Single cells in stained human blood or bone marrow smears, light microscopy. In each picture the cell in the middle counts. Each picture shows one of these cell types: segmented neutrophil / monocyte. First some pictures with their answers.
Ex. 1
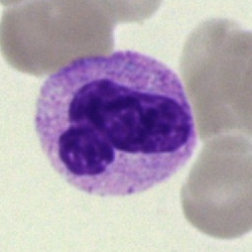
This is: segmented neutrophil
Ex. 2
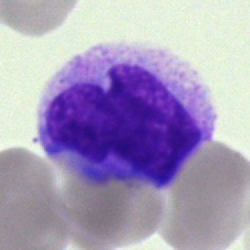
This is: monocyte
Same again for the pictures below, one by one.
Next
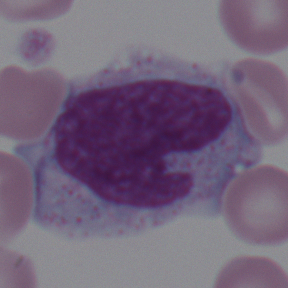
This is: monocyte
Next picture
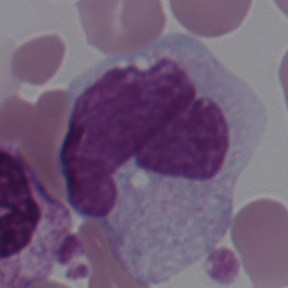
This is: monocyte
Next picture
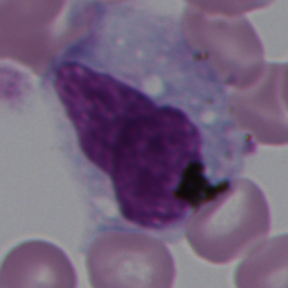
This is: monocyte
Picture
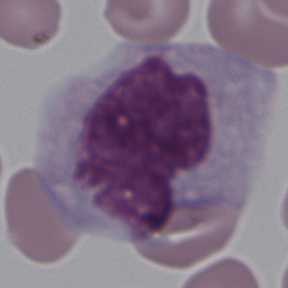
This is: monocyte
